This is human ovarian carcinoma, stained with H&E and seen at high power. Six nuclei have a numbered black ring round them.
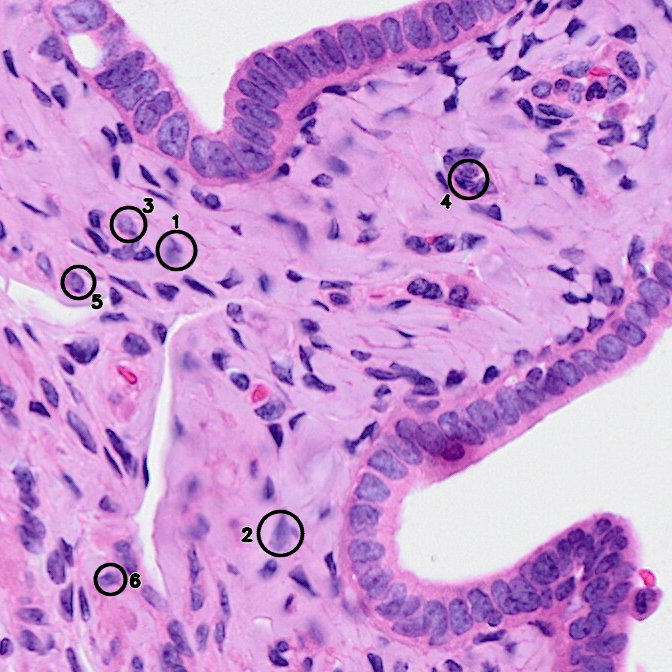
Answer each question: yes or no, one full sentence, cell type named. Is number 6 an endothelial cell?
No, the cell given the number 6 is a smooth muscle cell, so not an endothelial cell.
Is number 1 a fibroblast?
Yes, the cell bearing the number 1 is a fibroblast.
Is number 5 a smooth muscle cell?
Yes, the cell tagged with the number 5 is a smooth muscle cell.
